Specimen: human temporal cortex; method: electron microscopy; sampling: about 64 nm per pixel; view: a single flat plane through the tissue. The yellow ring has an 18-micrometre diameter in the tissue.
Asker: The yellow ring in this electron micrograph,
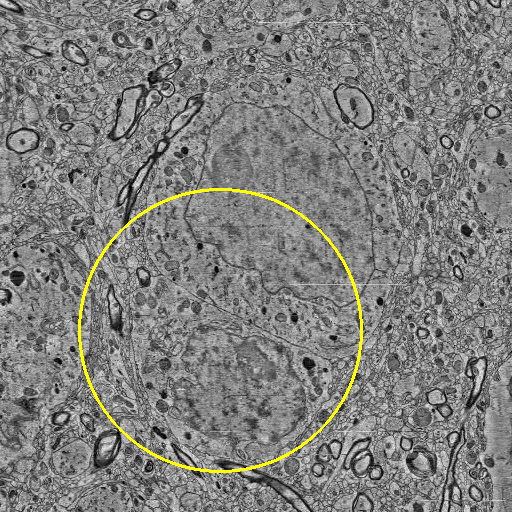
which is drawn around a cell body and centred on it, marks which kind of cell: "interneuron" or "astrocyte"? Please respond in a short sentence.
The marked cell is an interneuron.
